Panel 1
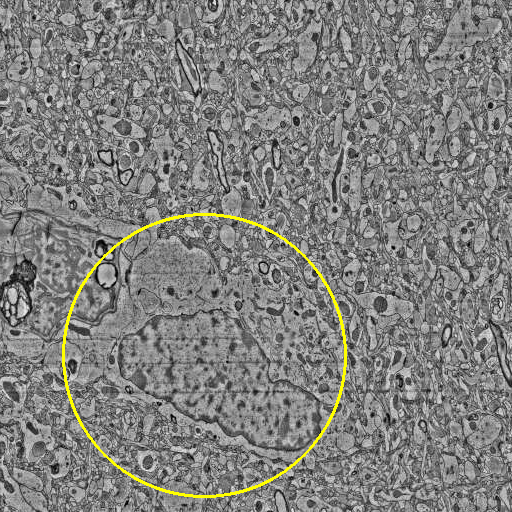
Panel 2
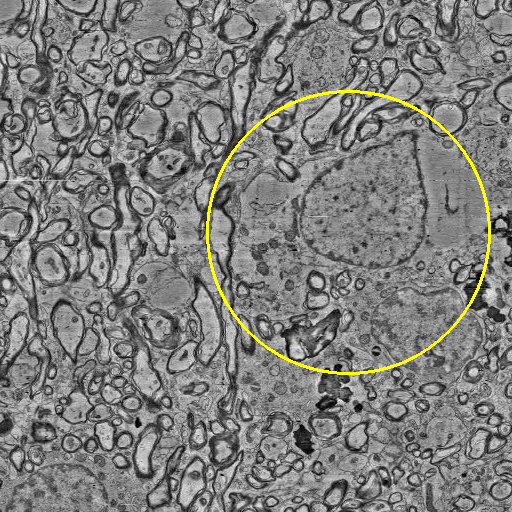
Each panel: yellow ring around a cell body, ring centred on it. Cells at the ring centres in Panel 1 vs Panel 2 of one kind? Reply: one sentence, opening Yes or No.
No, Panel 1 and Panel 2 have cells of two kinds at the ring centres.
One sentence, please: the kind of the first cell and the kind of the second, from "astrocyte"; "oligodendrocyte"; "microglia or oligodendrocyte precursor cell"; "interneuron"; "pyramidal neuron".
The ring in the first picture surrounds a microglial cell or oligodendrocyte precursor cell, and the ring in the second surrounds an astrocyte.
